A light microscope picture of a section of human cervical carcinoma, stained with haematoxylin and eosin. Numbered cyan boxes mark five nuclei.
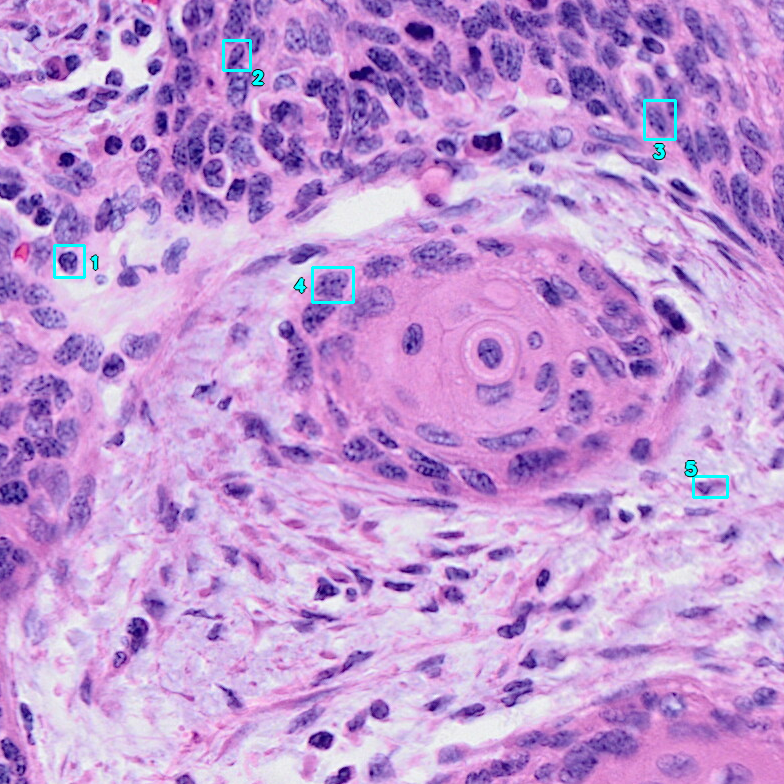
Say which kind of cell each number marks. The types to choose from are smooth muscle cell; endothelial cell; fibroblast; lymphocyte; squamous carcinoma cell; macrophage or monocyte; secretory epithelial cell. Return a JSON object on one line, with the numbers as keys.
{"1": "lymphocyte", "2": "squamous carcinoma cell", "3": "squamous carcinoma cell", "4": "squamous carcinoma cell", "5": "fibroblast"}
